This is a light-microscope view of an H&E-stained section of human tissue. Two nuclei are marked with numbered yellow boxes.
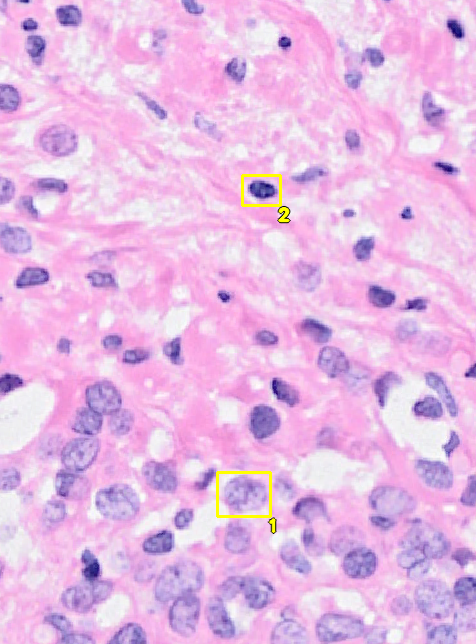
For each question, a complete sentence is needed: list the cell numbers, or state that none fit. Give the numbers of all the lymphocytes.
Cell 2 is a lymphocyte, while all remaining marked cells are of other types.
